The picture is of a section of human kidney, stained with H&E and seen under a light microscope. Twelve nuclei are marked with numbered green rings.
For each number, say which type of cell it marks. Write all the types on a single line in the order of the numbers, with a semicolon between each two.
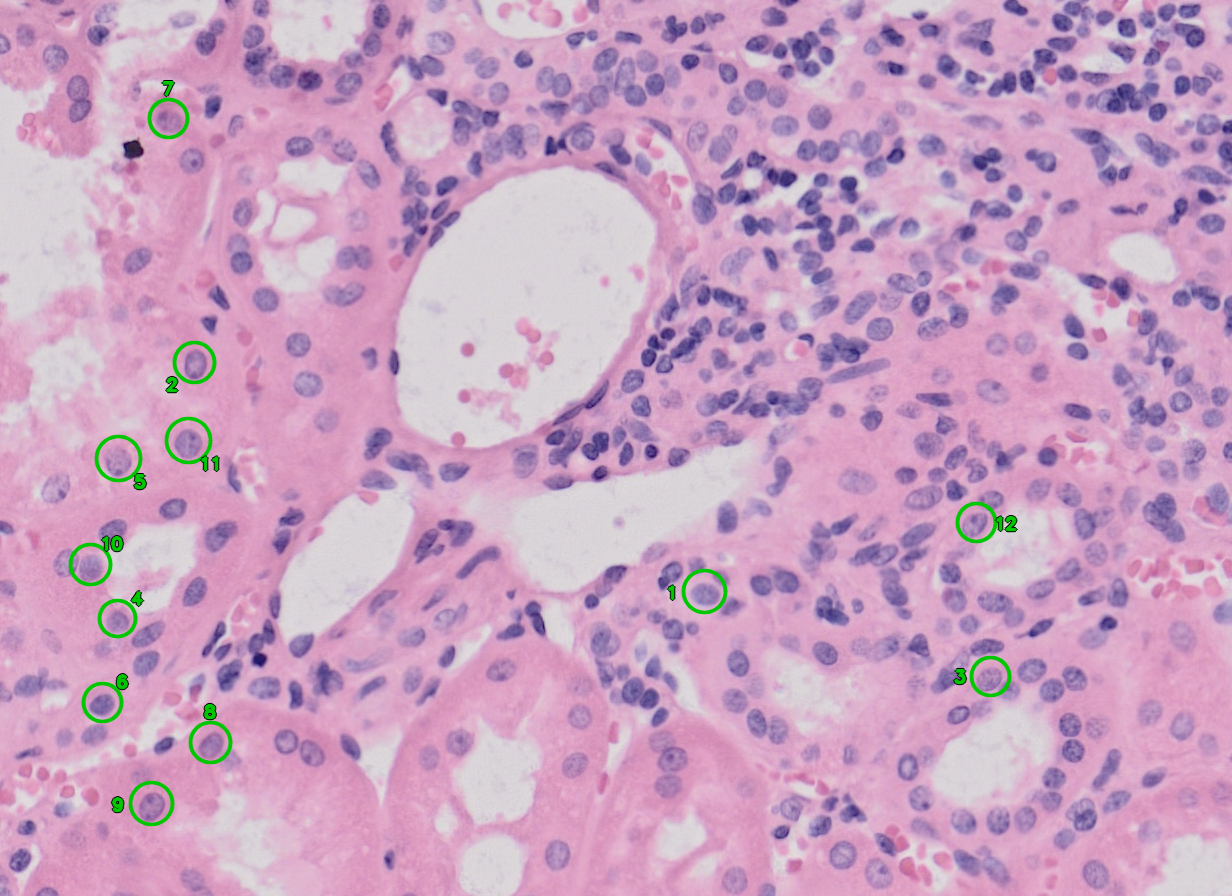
collecting duct cell; proximal tubule cell; collecting duct cell; loop of Henle or distal tubule cell; proximal tubule cell; loop of Henle or distal tubule cell; proximal tubule cell; proximal tubule cell; proximal tubule cell; loop of Henle or distal tubule cell; proximal tubule cell; collecting duct cell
